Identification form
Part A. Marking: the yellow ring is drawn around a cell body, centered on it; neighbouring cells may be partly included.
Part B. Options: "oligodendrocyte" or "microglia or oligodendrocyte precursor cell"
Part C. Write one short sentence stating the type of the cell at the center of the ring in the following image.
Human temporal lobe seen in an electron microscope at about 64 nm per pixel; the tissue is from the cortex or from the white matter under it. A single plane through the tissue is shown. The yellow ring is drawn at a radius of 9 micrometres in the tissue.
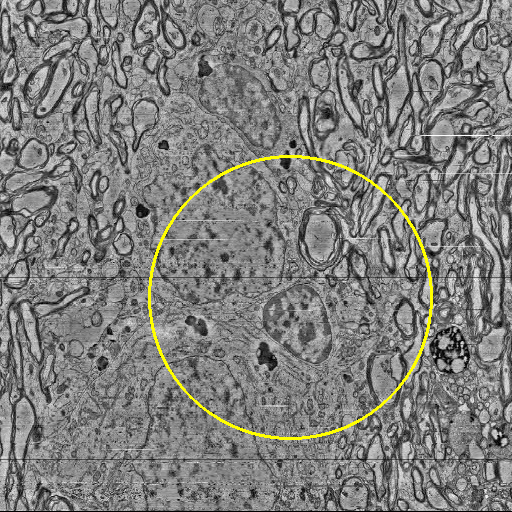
The center of the ring holds a microglial cell or oligodendrocyte precursor cell.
